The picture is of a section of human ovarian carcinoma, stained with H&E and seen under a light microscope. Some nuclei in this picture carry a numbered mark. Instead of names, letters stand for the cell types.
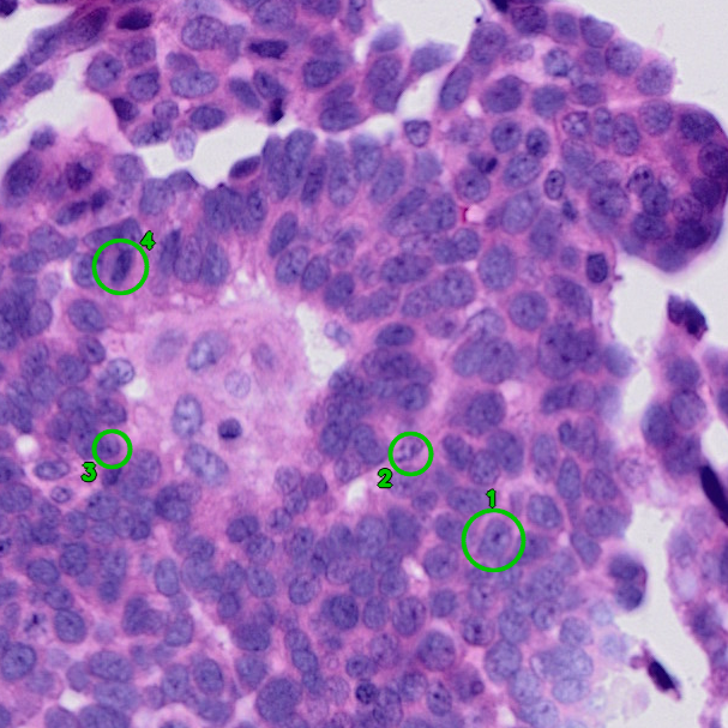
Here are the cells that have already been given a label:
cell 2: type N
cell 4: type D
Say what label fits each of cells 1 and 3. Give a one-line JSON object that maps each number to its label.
{"1": "type D", "3": "type D"}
